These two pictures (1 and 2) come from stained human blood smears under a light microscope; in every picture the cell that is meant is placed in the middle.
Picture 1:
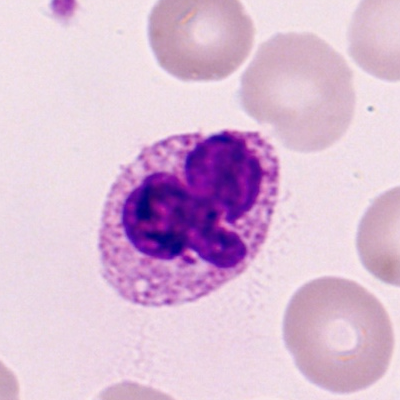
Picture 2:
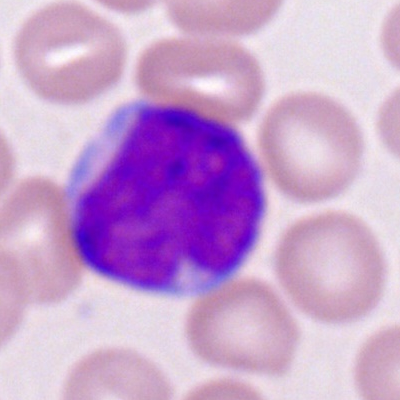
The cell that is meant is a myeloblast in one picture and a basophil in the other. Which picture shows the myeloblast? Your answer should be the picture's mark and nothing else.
2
